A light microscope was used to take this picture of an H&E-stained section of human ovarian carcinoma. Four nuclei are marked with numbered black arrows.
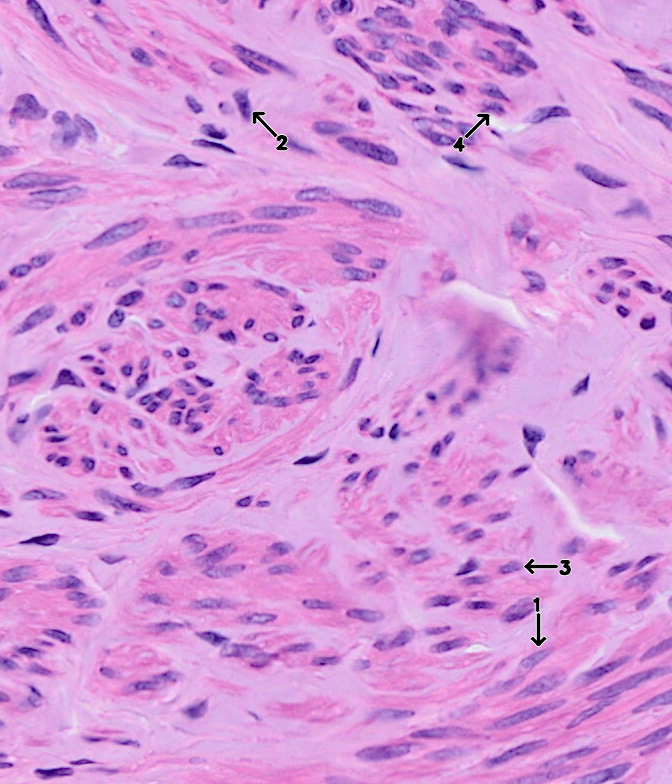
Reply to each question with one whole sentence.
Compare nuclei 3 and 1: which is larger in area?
It is nucleus 1, which covers about 2 times the area of nucleus 3.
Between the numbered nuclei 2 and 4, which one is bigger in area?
Nucleus 2 is larger, with an area about 1.5 times that of nucleus 4.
